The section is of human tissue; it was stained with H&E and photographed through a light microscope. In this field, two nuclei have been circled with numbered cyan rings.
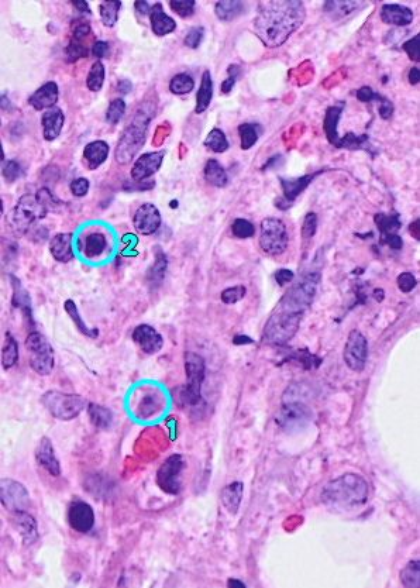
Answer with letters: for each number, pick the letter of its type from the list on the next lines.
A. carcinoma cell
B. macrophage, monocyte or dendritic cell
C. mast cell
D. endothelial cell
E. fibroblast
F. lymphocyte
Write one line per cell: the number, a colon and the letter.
1: D
2: F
